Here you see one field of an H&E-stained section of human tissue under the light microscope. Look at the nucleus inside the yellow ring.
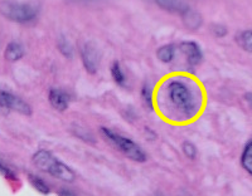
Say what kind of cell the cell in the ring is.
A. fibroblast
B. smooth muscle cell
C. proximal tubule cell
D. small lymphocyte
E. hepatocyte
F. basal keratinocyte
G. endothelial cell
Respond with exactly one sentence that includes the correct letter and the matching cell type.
What option B states, that the cell in the ring is a smooth muscle cell, is correct.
